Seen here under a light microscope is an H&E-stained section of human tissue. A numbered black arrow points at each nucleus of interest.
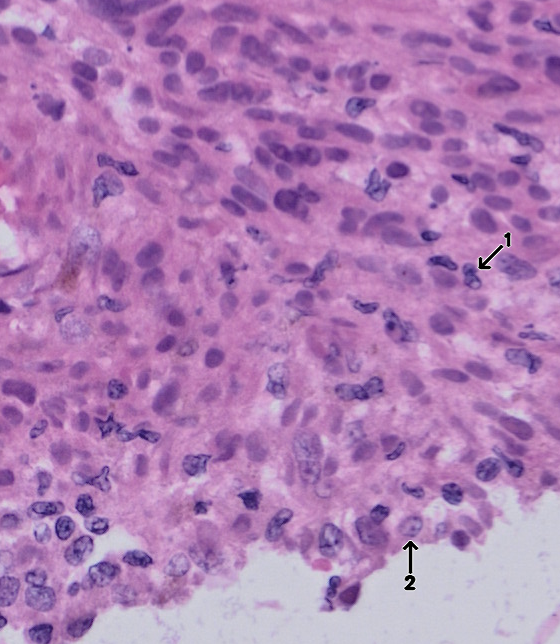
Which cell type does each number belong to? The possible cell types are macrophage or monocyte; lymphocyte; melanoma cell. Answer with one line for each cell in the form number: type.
1: lymphocyte
2: macrophage or monocyte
